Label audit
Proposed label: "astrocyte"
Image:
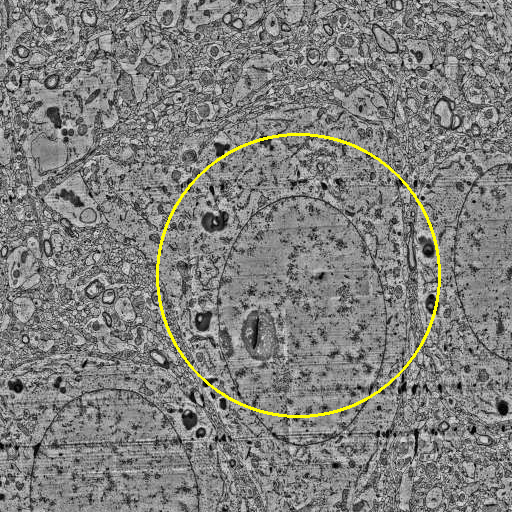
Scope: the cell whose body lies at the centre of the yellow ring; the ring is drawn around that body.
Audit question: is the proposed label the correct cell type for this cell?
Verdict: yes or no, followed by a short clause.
No, this cell is of another type.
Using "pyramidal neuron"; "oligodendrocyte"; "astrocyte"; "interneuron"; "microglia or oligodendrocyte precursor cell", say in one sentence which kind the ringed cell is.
What the ring is centred on is a pyramidal neuron.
